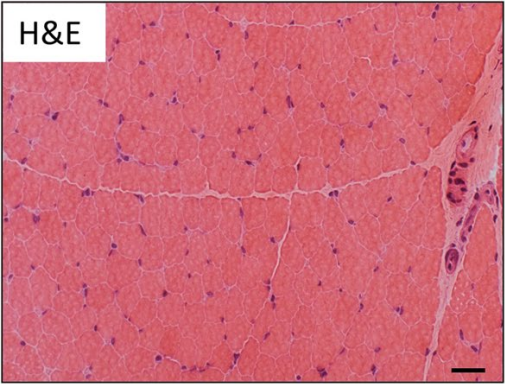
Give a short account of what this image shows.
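Cross-section of skeletal muscle showing closely packed polygonal fibres with pink cytoplasm and fairly uniform size. Small dark purple nuclei sit at the periphery of the fibres.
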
